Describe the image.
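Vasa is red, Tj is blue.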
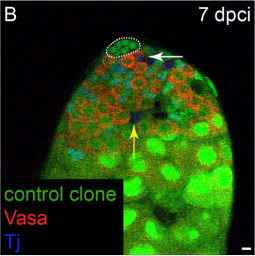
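Apical tip of a testis with the hub as a small outlined cluster of green nuclei at the tip. Germ cells with red cytoplasmic rims and round green nuclei pack the region below the hub. Small blue nuclei of somatic cells are scattered between the germ cells, several adjacent to the hub. A blue-nucleated cell without green signal lies deeper among the germ cells.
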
